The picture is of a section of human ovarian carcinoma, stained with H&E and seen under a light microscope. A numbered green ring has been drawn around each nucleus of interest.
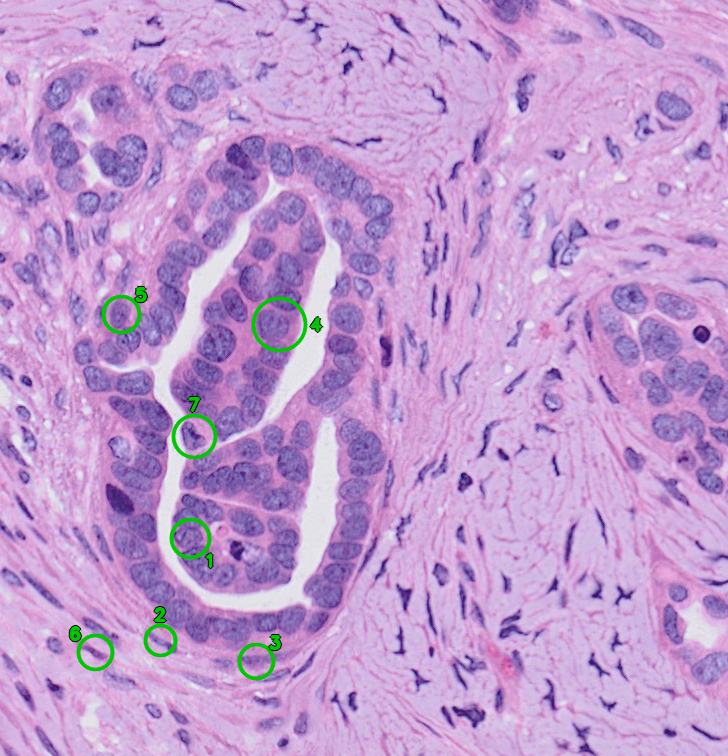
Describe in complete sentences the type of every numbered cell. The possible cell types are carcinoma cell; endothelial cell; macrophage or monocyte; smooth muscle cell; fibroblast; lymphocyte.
Cell 1 is a carcinoma cell, cell 2 is a fibroblast, cell 3 is a fibroblast, cell 4 is a carcinoma cell, cell 5 is a carcinoma cell, cell 6 is a fibroblast and cell 7 is a macrophage or monocyte.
